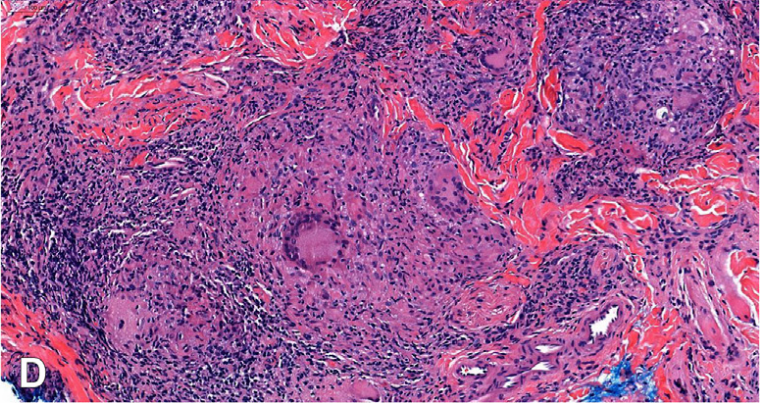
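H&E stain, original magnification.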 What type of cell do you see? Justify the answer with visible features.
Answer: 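Large round cells with abundant pink cytoplasm. Multiple nuclei arranged in a ring at the periphery of these large cells. That points to this answer: multinucleated giant cells.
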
